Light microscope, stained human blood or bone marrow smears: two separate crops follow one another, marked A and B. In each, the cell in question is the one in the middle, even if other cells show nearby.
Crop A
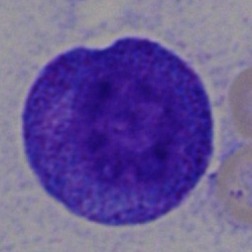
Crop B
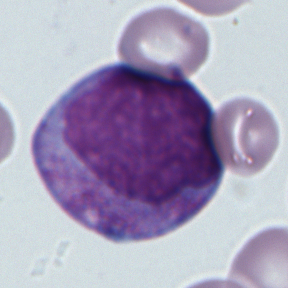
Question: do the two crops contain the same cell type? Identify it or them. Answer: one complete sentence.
Yes, the two central cells, one per crop, are promyelocytes.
